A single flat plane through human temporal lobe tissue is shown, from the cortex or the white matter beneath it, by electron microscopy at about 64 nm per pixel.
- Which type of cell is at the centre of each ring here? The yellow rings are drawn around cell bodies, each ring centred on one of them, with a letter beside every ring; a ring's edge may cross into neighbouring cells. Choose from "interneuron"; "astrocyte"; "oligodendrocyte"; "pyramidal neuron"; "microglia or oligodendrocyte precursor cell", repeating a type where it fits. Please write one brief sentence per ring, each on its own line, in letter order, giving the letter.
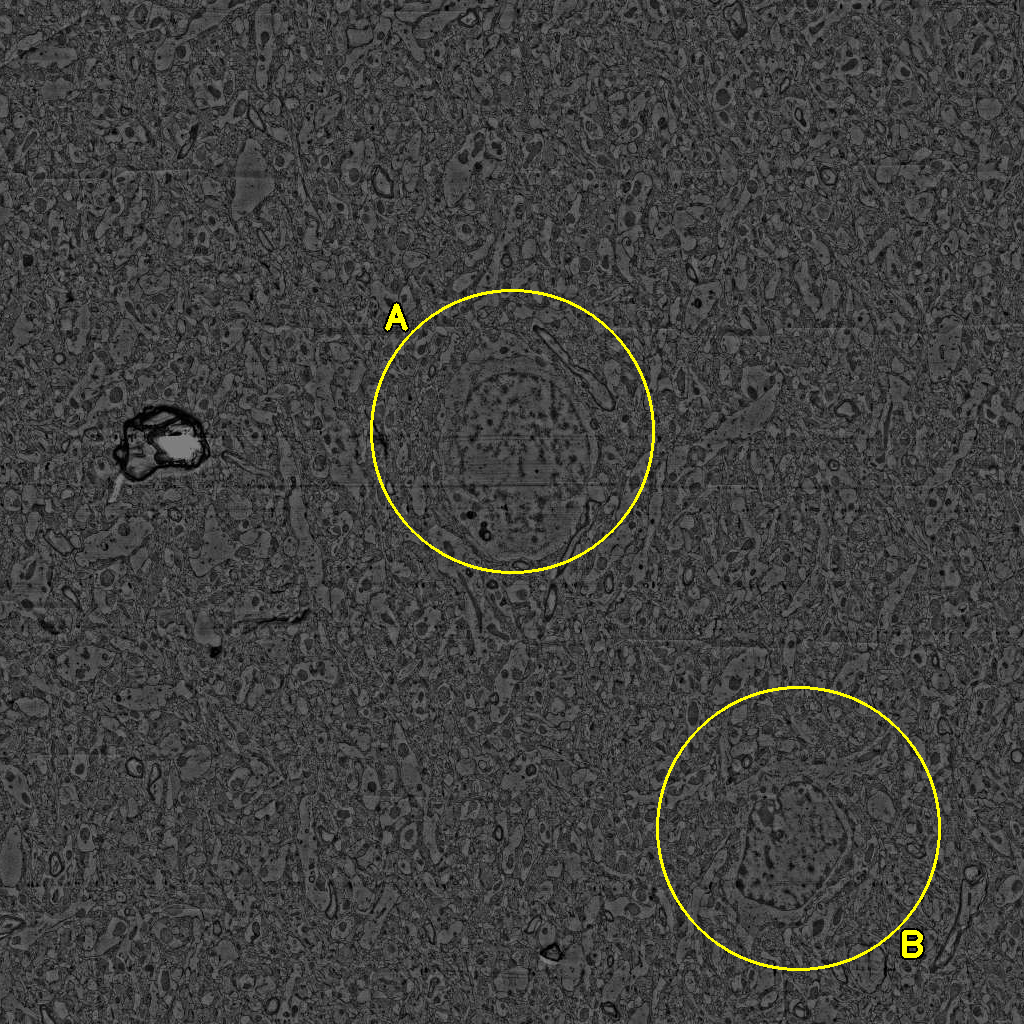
Ring A is centred over an interneuron.
Ring B is centred over a microglial cell or oligodendrocyte precursor cell.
